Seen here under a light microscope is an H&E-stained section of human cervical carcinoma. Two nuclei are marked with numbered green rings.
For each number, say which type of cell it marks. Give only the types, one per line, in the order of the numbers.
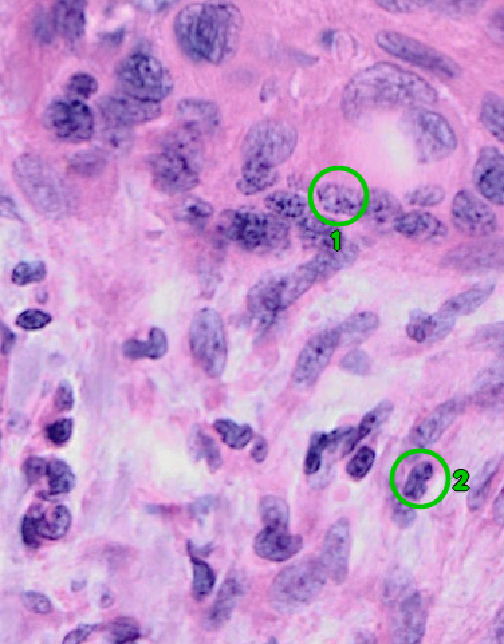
squamous carcinoma cell
lymphocyte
